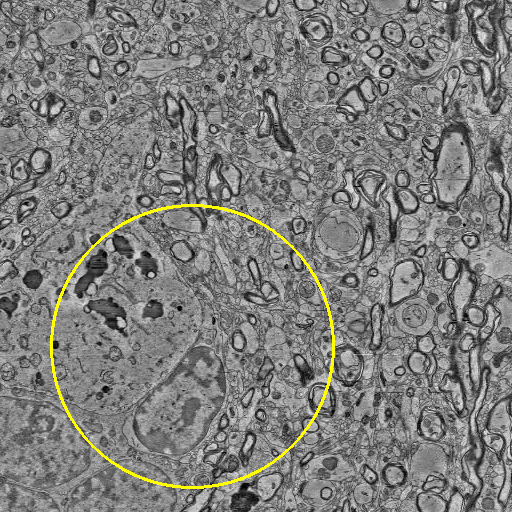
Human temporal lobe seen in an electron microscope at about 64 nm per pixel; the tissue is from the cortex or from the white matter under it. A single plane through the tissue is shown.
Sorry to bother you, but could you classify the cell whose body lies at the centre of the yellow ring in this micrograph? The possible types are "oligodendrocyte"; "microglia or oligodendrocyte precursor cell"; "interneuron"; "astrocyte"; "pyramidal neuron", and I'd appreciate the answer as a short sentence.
The ringed cell body is that of a microglial cell or oligodendrocyte precursor cell.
